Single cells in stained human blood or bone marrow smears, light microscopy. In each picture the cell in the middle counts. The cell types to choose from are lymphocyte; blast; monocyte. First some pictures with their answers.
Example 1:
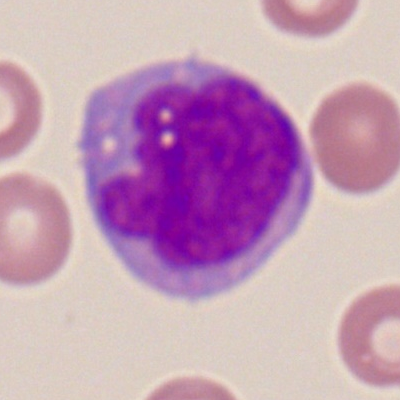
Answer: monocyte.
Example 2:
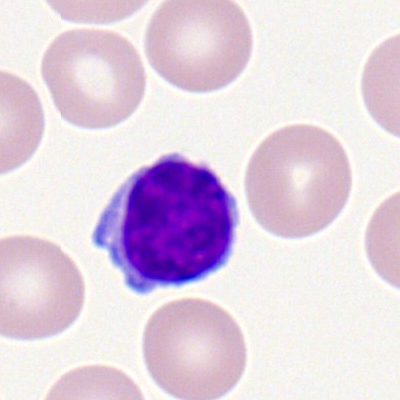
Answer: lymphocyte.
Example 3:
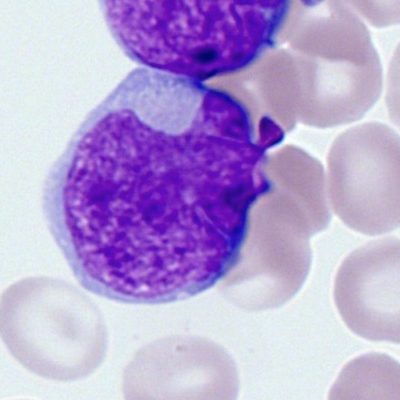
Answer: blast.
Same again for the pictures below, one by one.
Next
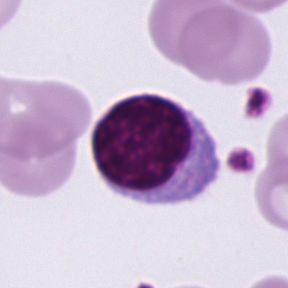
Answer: lymphocyte.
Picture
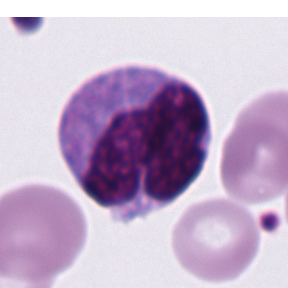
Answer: monocyte.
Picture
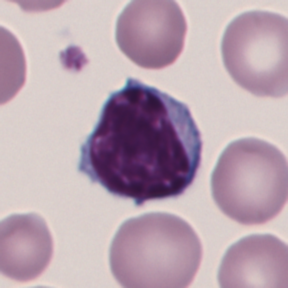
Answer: lymphocyte.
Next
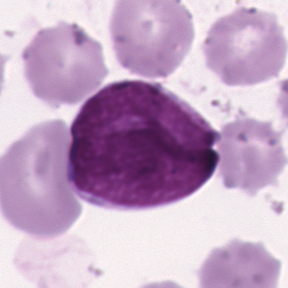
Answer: blast.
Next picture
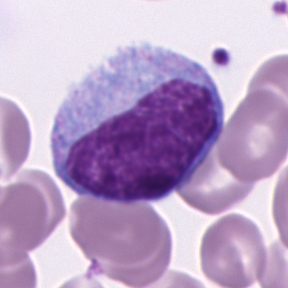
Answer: monocyte.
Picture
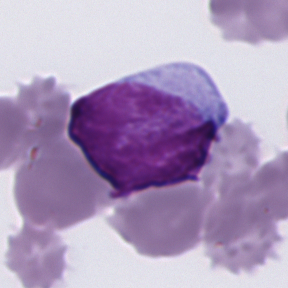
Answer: blast.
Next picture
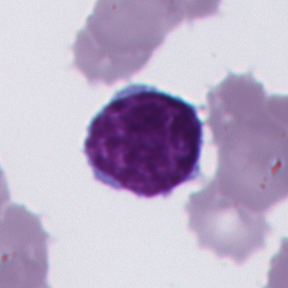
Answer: lymphocyte.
